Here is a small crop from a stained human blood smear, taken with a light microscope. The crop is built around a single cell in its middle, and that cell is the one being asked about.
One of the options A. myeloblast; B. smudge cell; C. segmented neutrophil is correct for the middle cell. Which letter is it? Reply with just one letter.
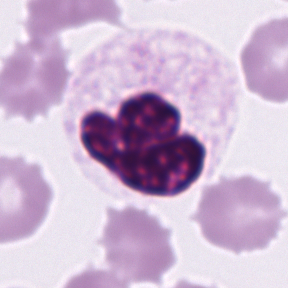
C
